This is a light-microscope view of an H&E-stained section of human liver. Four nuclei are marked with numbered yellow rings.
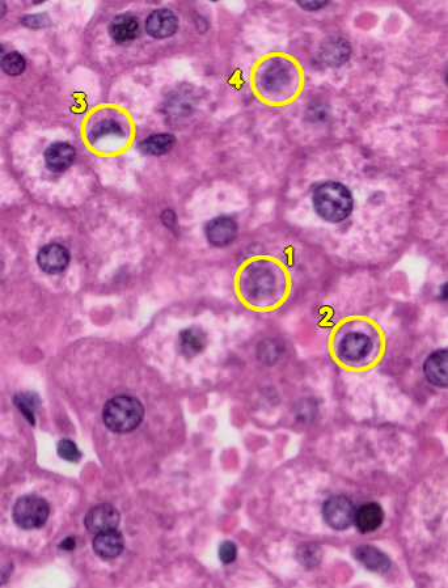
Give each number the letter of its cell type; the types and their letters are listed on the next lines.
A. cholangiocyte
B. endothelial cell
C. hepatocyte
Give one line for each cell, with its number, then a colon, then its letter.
1: C
2: C
3: B
4: C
